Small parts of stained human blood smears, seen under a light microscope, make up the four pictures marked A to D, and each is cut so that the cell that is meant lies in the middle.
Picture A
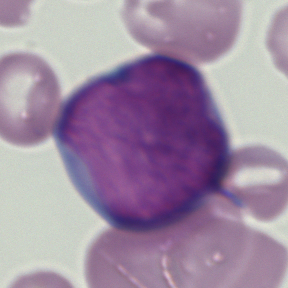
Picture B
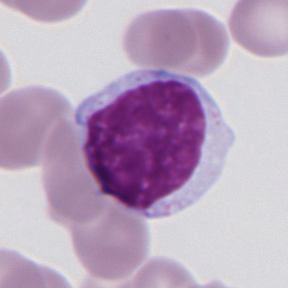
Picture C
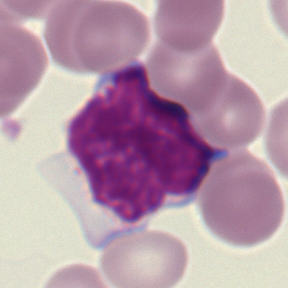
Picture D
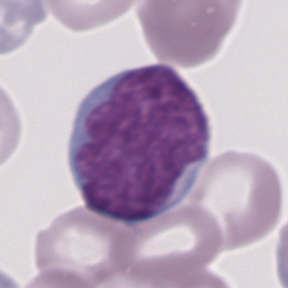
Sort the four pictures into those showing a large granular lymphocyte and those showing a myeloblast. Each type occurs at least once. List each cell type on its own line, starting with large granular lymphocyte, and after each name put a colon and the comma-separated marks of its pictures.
large granular lymphocyte: B, C
myeloblast: A, D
